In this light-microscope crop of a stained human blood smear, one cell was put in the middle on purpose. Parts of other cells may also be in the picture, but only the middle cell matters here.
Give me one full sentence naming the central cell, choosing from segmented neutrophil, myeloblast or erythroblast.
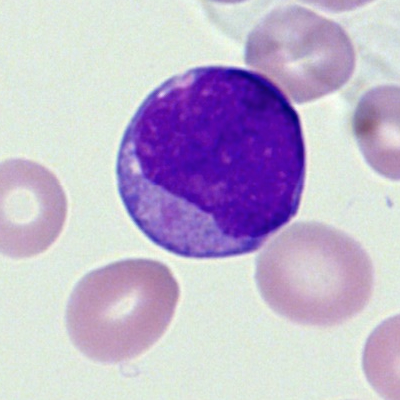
What the crop centres on is a myeloblast.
